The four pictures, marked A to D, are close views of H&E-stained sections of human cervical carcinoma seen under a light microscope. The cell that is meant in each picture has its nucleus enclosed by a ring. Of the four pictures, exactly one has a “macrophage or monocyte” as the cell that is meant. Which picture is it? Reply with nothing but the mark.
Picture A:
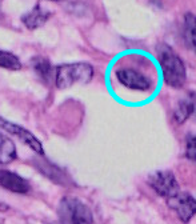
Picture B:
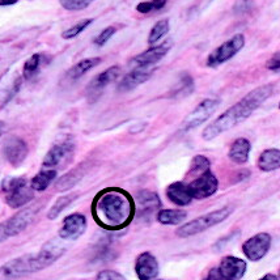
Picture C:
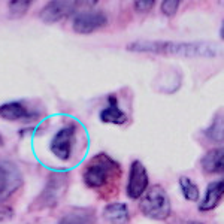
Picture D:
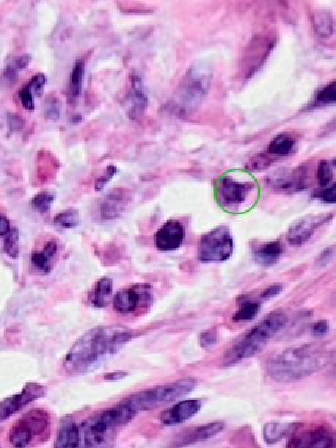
D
